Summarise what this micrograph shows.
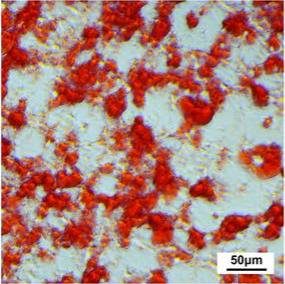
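Many cells are rounded and packed with red droplets, lying in irregular clusters across the dish. The red stain is strong and uneven, heavier where cells pile together.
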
